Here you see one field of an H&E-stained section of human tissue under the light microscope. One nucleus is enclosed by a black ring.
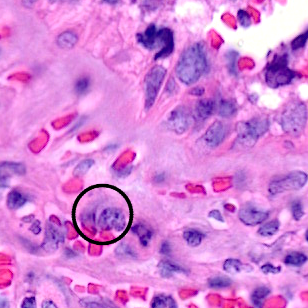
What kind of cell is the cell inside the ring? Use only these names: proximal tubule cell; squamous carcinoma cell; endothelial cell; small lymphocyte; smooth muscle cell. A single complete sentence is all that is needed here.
As for its identity, the cell inside the ring is an endothelial cell.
